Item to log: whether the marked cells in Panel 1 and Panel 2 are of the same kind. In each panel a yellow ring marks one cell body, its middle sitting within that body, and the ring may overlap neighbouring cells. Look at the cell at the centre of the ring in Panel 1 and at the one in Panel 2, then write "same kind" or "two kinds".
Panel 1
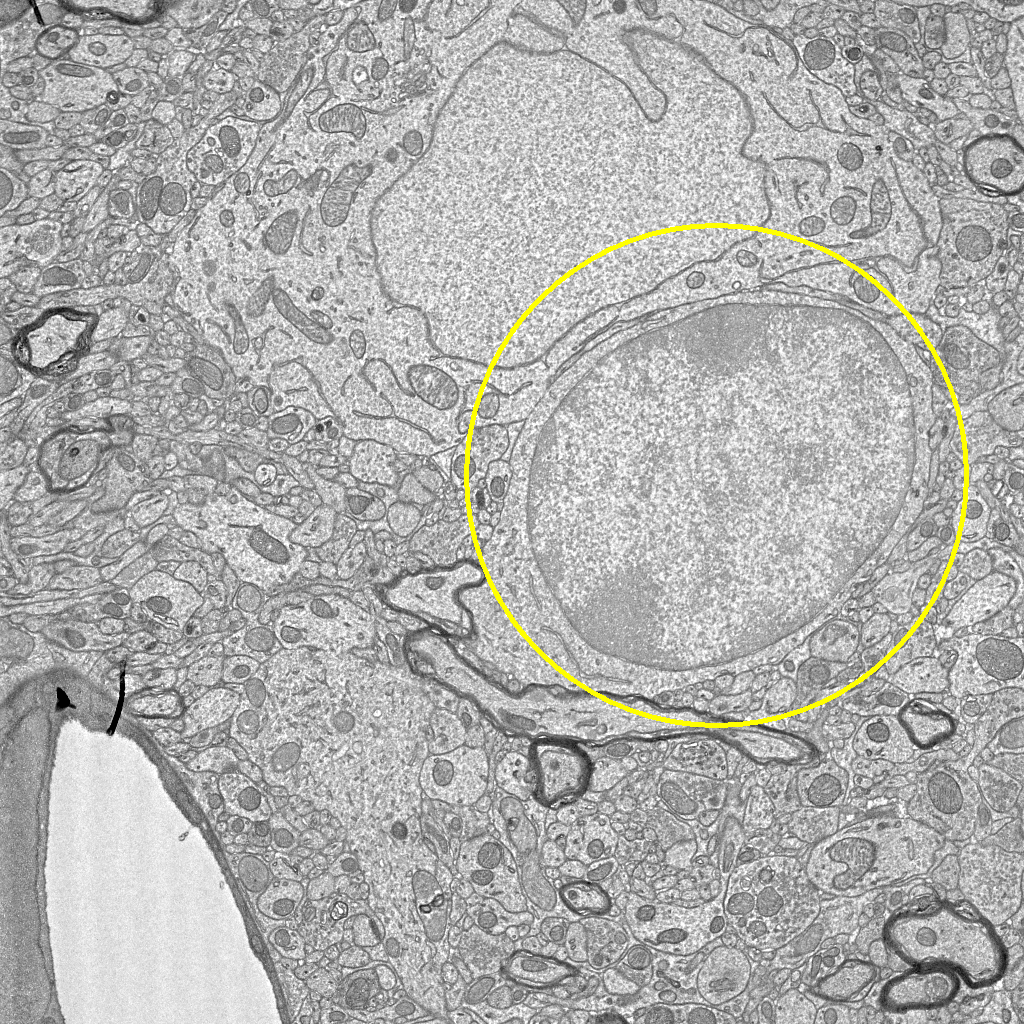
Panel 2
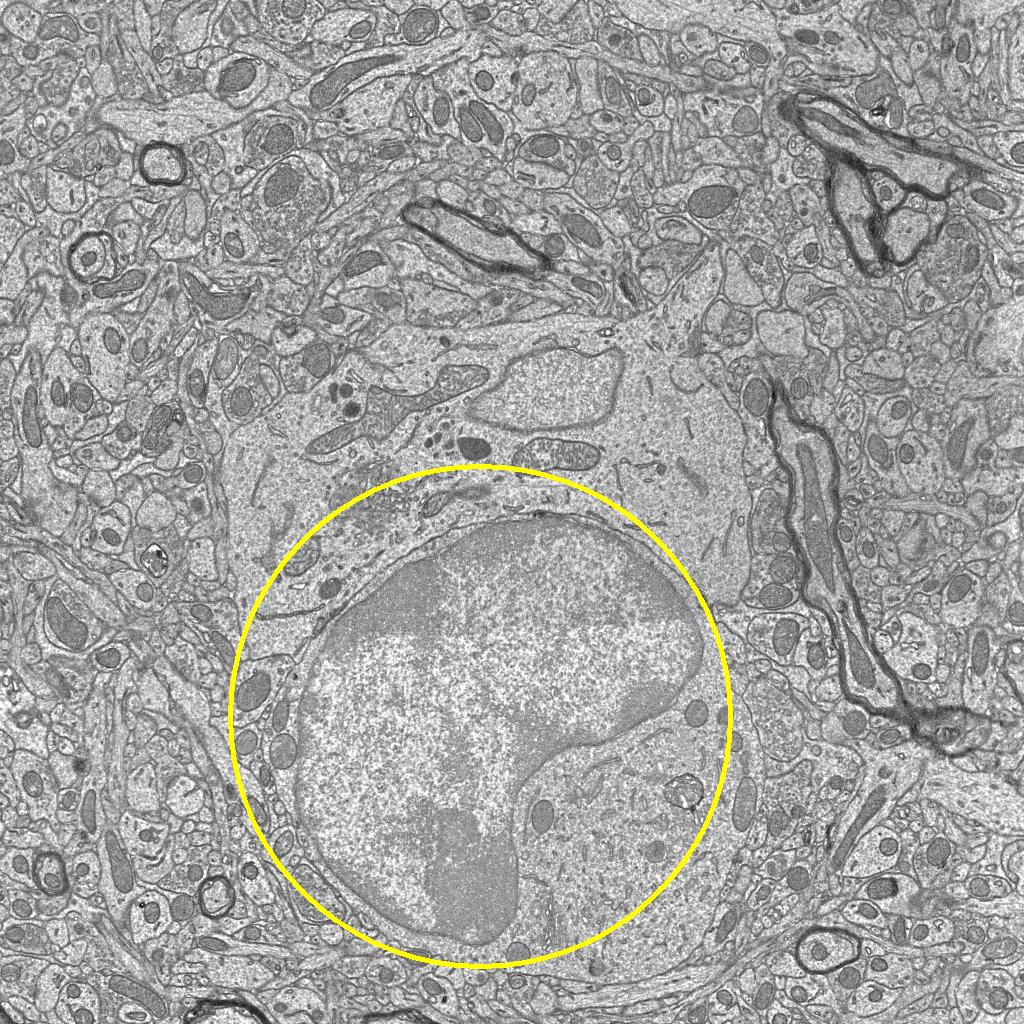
same kind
